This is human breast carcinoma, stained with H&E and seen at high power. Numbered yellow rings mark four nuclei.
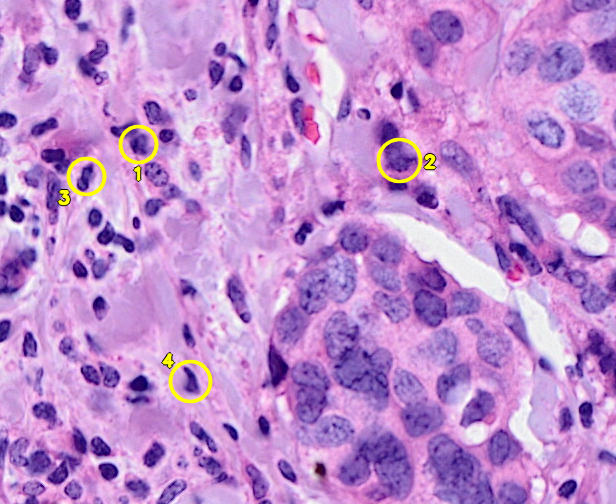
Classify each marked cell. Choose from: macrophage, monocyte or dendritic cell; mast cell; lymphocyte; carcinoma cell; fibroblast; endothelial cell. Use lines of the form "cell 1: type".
cell 1: lymphocyte
cell 2: carcinoma cell
cell 3: lymphocyte
cell 4: lymphocyte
